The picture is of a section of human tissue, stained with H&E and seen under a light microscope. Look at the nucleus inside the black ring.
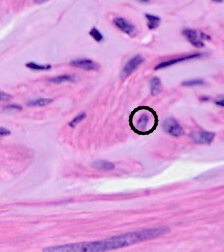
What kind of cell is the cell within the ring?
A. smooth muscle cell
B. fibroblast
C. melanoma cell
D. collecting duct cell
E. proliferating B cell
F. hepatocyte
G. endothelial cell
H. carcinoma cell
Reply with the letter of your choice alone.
A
